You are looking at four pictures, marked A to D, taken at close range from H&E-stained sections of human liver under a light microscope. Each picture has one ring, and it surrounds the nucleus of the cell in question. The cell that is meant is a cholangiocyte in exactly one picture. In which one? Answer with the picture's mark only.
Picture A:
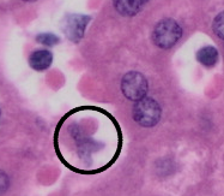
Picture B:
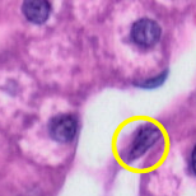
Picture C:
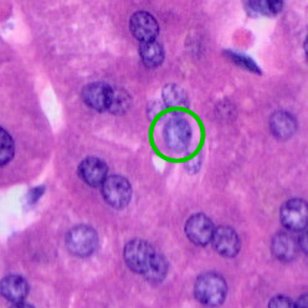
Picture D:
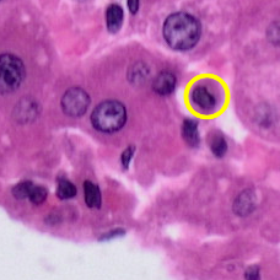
C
